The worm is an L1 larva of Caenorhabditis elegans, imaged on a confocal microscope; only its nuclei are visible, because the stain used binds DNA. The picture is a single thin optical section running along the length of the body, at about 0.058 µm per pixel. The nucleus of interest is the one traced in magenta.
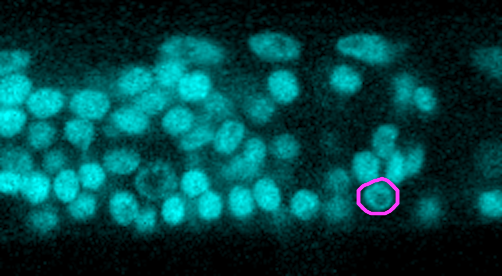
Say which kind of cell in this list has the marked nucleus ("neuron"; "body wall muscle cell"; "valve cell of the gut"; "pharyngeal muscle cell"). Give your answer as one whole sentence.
The nucleus comes from a body wall muscle cell.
